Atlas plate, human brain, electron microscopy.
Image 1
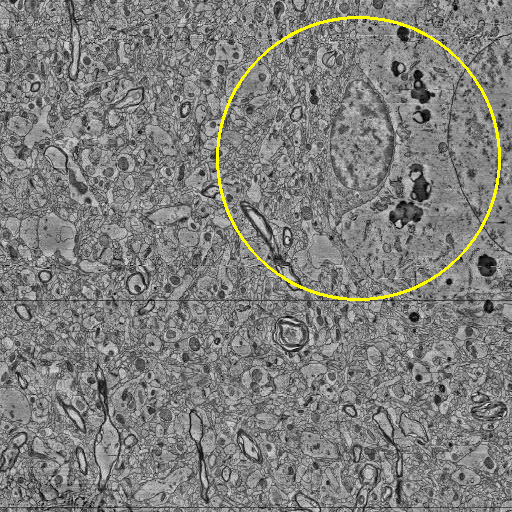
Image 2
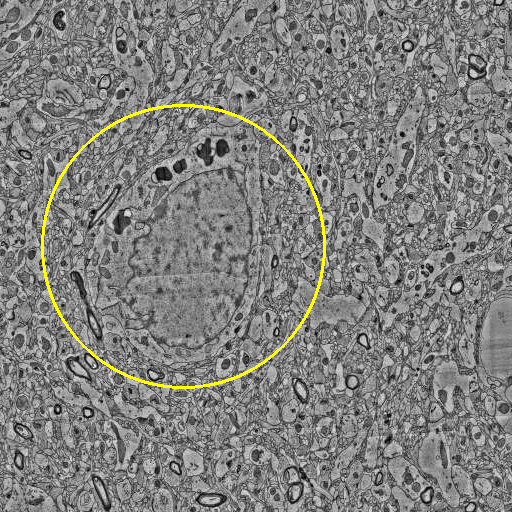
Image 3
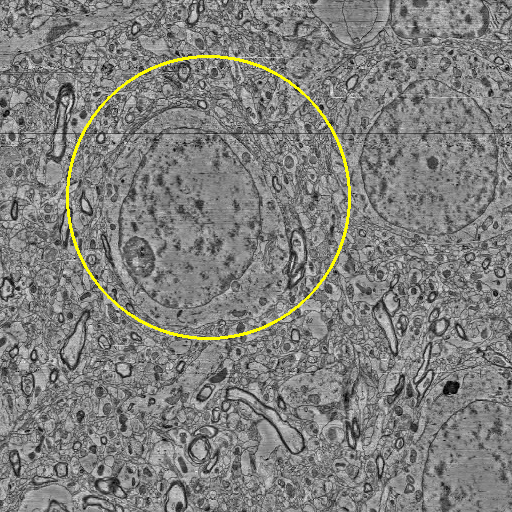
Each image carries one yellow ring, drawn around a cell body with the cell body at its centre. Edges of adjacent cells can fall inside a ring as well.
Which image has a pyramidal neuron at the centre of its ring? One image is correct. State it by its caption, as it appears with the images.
Image 3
